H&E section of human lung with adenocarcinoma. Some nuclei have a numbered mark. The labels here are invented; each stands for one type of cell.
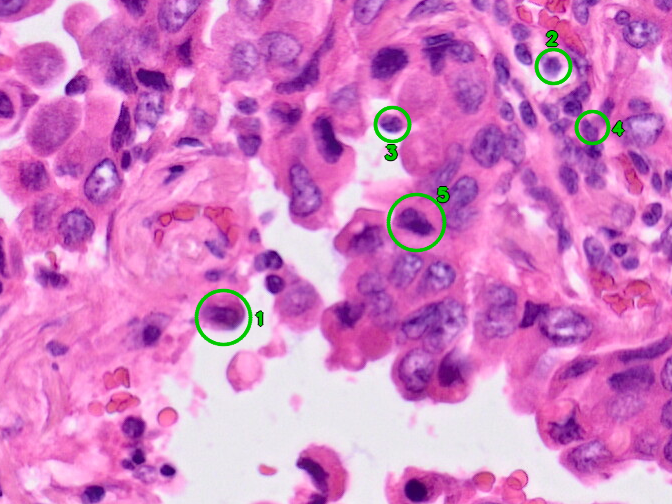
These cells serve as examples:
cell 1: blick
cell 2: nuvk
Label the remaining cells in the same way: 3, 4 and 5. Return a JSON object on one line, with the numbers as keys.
{"3": "nuvk", "4": "nuvk", "5": "blick"}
